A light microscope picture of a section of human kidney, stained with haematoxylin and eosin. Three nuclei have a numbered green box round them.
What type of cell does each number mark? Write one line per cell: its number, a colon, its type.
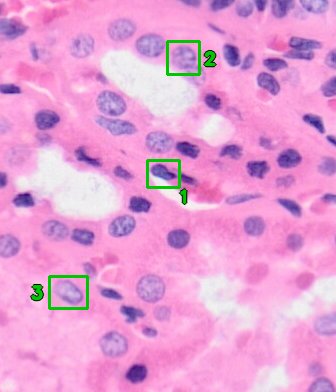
1: endothelial cell
2: loop of Henle or distal tubule cell
3: proximal tubule cell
